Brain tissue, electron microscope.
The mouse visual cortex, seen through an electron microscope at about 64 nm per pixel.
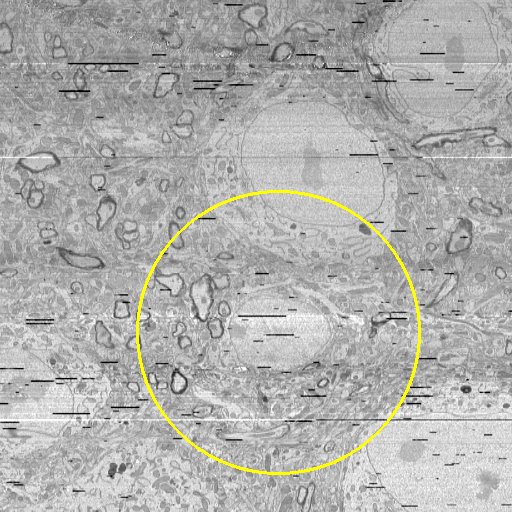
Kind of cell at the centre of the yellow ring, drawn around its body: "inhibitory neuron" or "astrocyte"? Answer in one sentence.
The ring's centre falls on an astrocyte.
